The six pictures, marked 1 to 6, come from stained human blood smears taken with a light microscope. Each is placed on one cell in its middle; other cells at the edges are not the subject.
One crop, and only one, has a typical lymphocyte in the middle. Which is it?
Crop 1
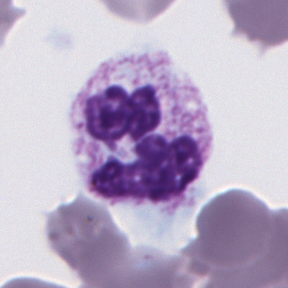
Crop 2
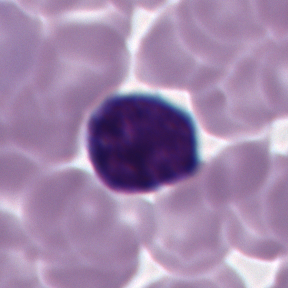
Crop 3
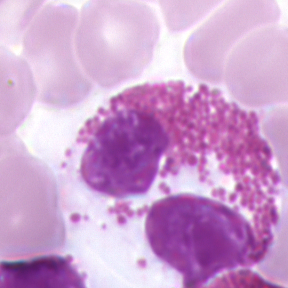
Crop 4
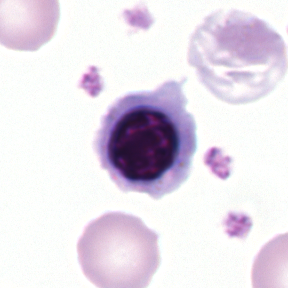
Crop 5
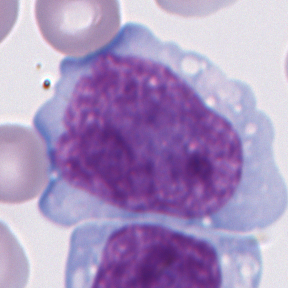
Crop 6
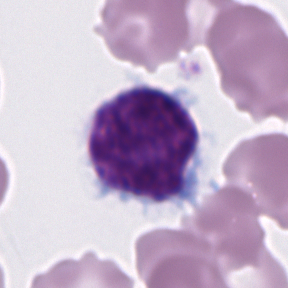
2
